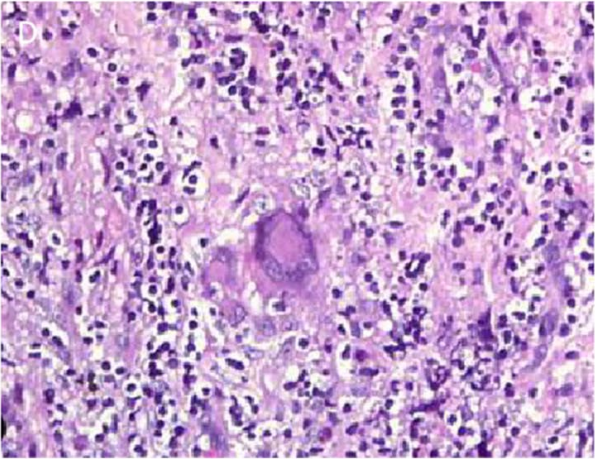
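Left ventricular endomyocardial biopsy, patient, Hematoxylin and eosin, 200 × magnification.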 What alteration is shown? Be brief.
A: Inflammatory infiltration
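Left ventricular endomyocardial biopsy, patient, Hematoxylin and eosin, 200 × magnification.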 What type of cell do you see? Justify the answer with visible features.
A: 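A large cell near the centre is much bigger than the surrounding cells. Several nuclei lie in an arc at the edge of its pink cytoplasm.
Hence: multinucleated giant cell.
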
